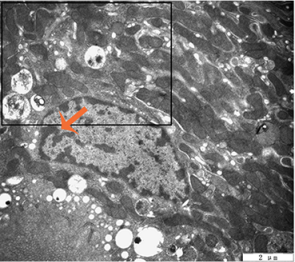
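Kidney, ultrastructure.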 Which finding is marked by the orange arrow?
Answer: Chromatin margination, condensation, and fragmentation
